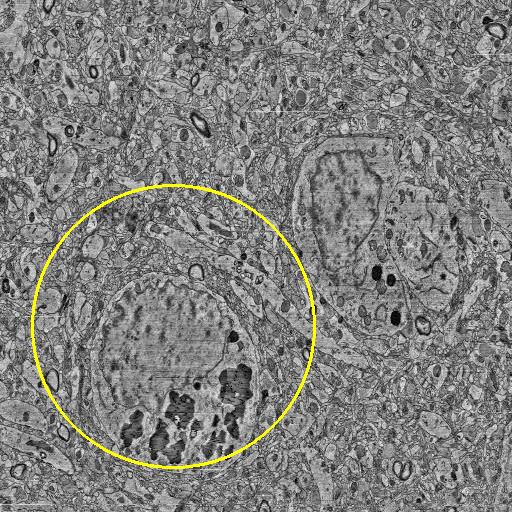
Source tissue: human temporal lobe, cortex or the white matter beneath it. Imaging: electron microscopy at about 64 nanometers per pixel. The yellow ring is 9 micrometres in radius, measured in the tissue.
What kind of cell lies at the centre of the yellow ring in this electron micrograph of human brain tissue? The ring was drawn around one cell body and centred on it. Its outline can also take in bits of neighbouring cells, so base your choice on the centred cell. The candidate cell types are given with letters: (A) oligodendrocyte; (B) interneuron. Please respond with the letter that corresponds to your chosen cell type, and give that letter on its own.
B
